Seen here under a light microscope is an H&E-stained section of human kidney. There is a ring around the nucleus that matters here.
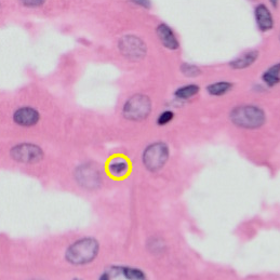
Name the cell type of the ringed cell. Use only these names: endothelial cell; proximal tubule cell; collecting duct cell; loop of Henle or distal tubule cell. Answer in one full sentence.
As a matter of cell type, the ringed cell is an endothelial cell.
